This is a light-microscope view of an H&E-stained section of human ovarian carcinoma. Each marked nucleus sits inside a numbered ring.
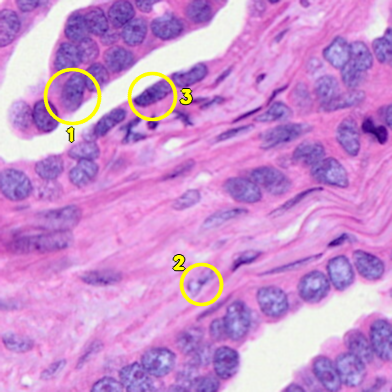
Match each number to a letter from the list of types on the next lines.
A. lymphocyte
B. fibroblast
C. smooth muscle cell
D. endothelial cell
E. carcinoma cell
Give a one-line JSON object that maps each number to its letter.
{"1": "E", "2": "B", "3": "E"}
